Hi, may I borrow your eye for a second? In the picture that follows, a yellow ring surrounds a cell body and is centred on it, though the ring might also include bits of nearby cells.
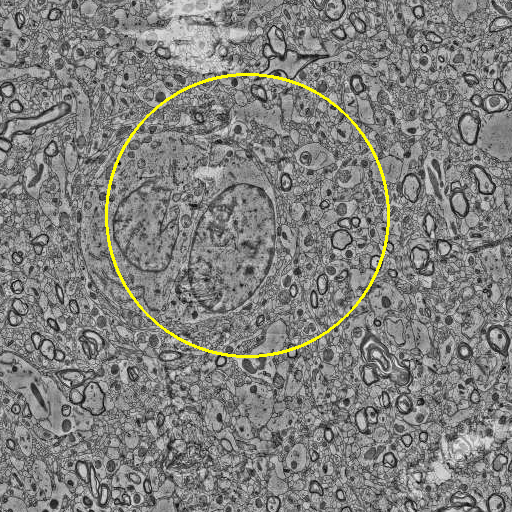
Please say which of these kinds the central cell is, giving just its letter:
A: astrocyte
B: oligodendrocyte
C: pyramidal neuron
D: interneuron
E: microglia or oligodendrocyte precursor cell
E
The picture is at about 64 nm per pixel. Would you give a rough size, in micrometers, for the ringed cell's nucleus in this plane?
About 8 by 5 micrometres; in this plane the nucleus is clearly longer than it is wide.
